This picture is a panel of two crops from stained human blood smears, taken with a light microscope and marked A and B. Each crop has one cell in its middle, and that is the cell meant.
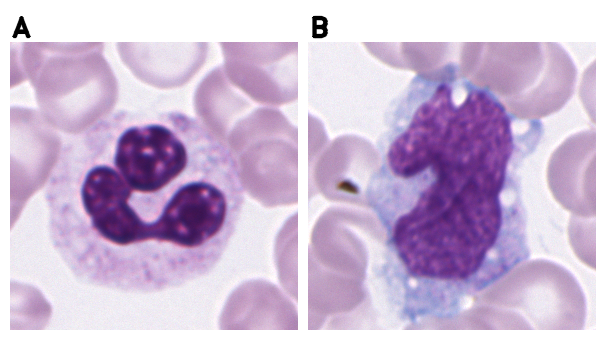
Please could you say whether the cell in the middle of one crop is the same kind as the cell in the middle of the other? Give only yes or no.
no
